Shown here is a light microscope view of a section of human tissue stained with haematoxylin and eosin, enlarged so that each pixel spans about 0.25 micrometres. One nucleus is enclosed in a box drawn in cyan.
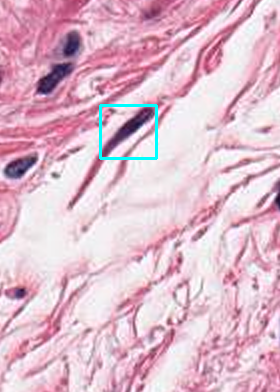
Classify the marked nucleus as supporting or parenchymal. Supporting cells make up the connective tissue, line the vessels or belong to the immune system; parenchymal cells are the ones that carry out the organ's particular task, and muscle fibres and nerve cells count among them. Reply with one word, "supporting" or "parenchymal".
supporting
